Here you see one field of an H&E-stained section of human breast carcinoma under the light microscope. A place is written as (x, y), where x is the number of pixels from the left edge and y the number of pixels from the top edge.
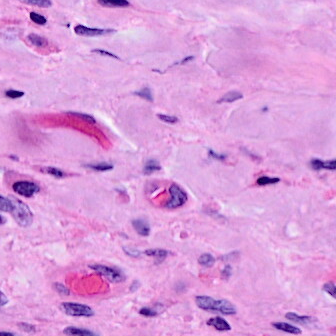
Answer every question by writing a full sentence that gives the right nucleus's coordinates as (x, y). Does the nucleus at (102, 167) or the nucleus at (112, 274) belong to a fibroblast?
Of the two nuclei, the one sitting at (102, 167) belongs to a fibroblast.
